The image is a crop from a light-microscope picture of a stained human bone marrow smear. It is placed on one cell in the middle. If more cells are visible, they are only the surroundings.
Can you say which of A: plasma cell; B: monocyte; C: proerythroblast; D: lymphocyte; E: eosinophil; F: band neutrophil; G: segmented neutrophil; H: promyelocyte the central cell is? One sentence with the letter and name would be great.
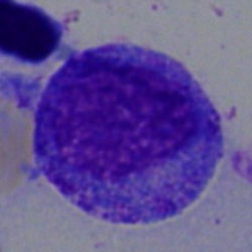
That cell in the center is a promyelocyte, hence option H.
